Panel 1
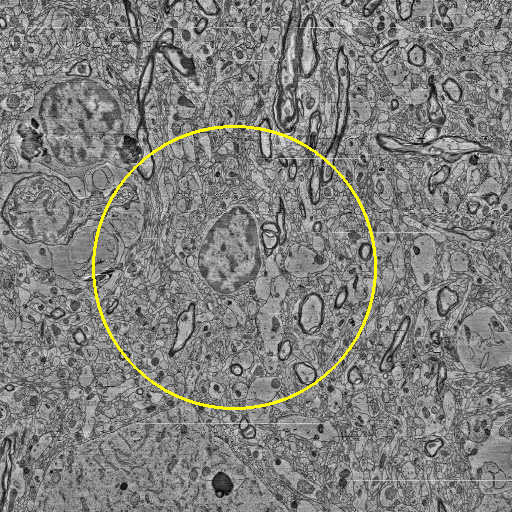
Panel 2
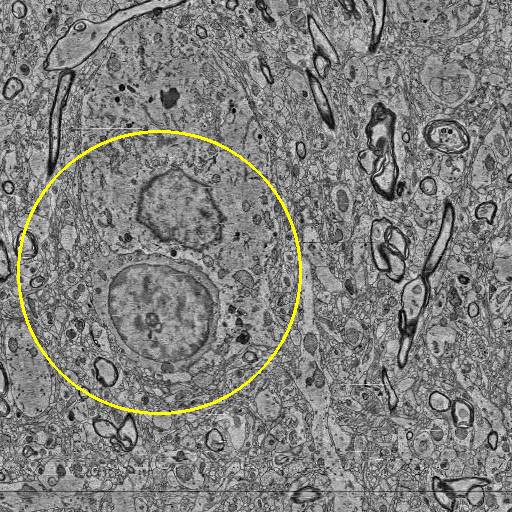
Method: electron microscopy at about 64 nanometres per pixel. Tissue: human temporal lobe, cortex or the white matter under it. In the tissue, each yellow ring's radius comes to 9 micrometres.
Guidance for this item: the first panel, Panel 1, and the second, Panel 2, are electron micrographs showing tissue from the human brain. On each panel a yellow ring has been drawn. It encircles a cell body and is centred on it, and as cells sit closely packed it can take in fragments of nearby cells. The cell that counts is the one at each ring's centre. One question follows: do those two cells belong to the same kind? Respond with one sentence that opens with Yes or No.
No, the cells at the ring centres in Panel 1 and Panel 2 are of two kinds.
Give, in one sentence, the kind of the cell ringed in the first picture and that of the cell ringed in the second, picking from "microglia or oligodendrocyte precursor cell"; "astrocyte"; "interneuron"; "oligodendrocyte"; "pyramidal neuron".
For the first picture it is a microglial cell or oligodendrocyte precursor cell; for the second, an oligodendrocyte.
